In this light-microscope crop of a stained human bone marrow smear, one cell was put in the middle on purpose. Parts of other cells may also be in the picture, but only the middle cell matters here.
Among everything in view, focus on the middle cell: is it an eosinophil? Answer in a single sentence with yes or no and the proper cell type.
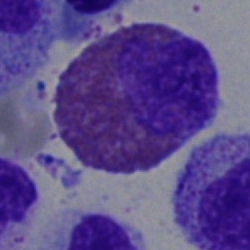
Yes, the cell that lies centrally is an eosinophil.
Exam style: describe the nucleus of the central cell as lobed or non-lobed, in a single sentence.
The cell carries one compact nucleus shaped round, oval or like a kidney.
